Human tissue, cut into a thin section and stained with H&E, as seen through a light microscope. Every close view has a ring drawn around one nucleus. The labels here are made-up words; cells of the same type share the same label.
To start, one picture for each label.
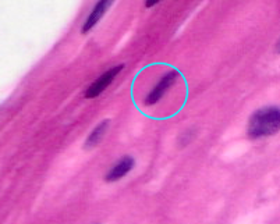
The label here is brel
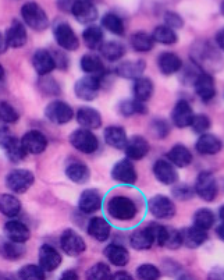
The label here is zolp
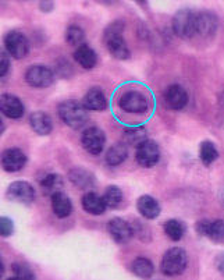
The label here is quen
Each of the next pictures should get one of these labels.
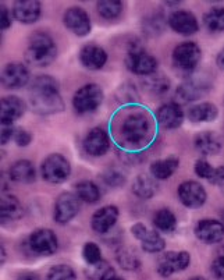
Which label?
quen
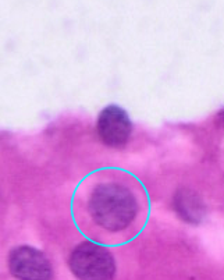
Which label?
brel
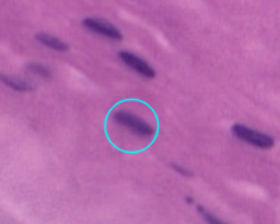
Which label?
brel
